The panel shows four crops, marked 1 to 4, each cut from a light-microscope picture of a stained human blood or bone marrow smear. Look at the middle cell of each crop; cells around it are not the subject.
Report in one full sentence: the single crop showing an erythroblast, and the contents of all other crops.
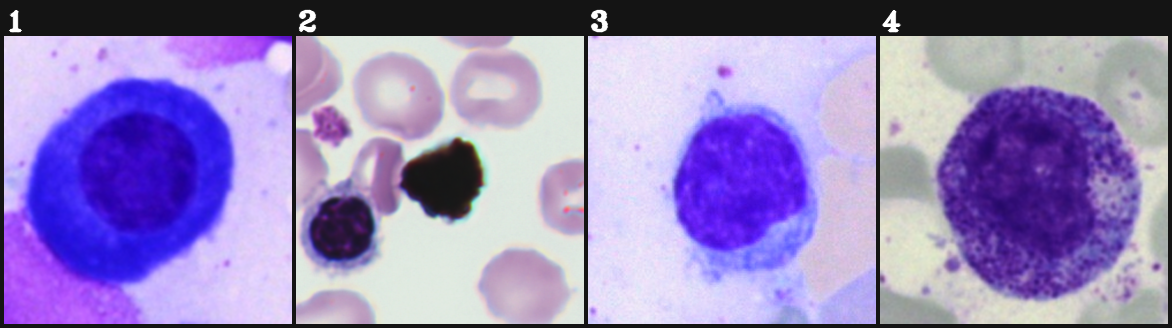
Inside crop 2 there is an erythroblast, while crop 1 is a plasma cell, crop 3 is a lymphocyte and crop 4 is a myelocyte.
